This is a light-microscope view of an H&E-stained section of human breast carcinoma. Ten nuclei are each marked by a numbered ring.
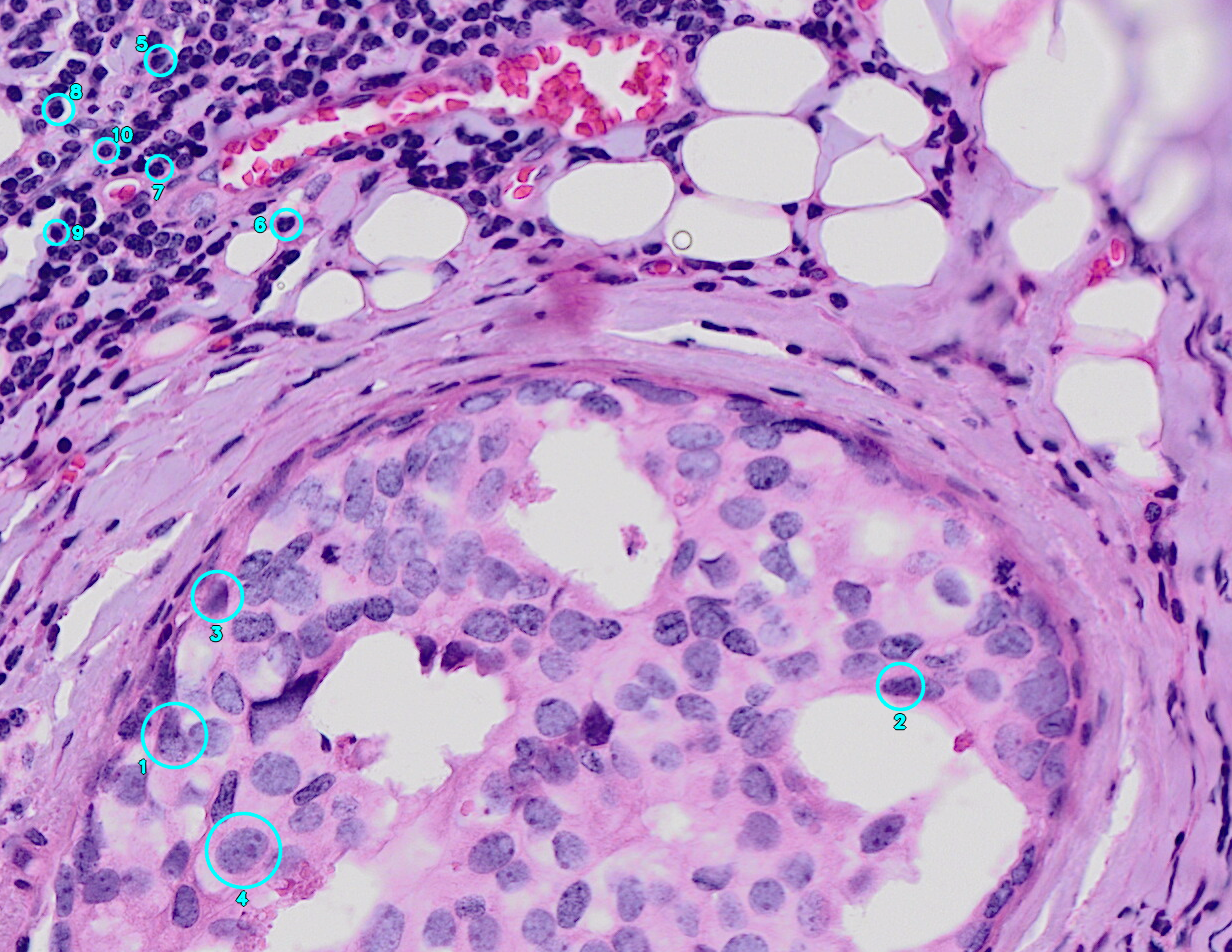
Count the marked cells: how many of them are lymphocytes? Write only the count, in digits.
6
